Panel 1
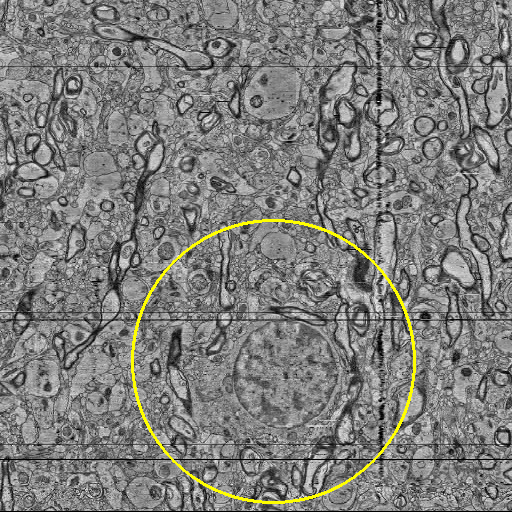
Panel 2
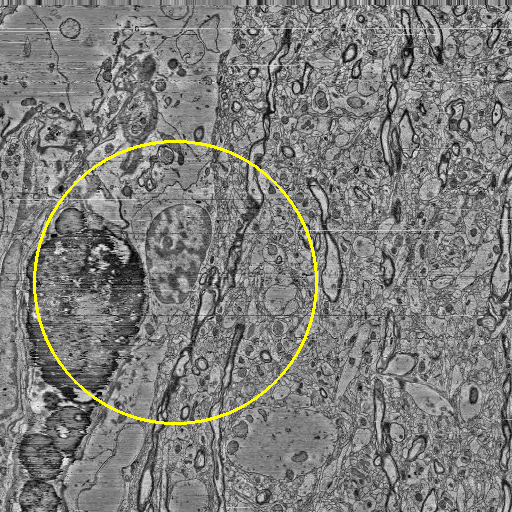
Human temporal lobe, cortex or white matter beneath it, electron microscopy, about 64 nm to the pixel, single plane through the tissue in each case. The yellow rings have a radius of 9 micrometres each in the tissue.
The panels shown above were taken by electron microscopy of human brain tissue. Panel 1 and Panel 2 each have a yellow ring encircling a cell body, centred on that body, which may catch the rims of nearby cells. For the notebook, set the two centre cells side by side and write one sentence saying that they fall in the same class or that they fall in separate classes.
The centred cells of Panel 1 and Panel 2 fall in separate classes.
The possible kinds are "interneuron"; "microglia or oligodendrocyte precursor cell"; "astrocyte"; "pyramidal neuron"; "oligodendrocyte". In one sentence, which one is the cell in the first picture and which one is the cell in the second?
The cell ringed in the second picture is a microglial cell or oligodendrocyte precursor cell, whereas the one ringed in the first is an oligodendrocyte.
